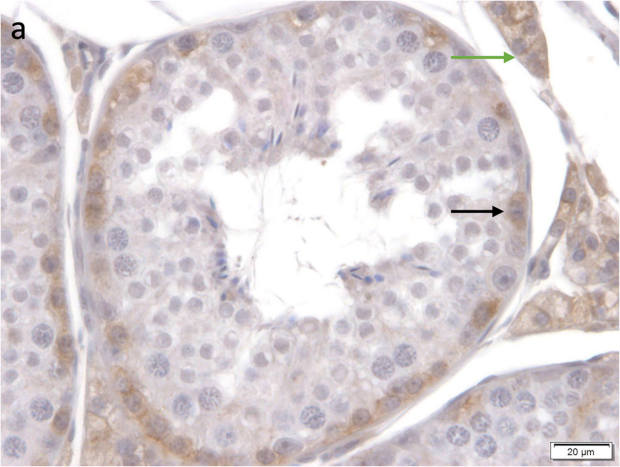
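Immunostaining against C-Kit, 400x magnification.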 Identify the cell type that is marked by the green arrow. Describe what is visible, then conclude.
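Leydig cells. The arrow points to cells in the interstitial space between tubules. These interstitial cells are clustered and have brown-stained cytoplasm.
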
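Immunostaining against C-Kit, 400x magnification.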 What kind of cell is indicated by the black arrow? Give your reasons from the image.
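Spermatogonia. The arrow points to a cell sitting on the basement membrane at the outer edge of the seminiferous tubule. Cells in this basal row have brown-stained cytoplasm. Layers of paler cells with round nuclei lie toward the lumen.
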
